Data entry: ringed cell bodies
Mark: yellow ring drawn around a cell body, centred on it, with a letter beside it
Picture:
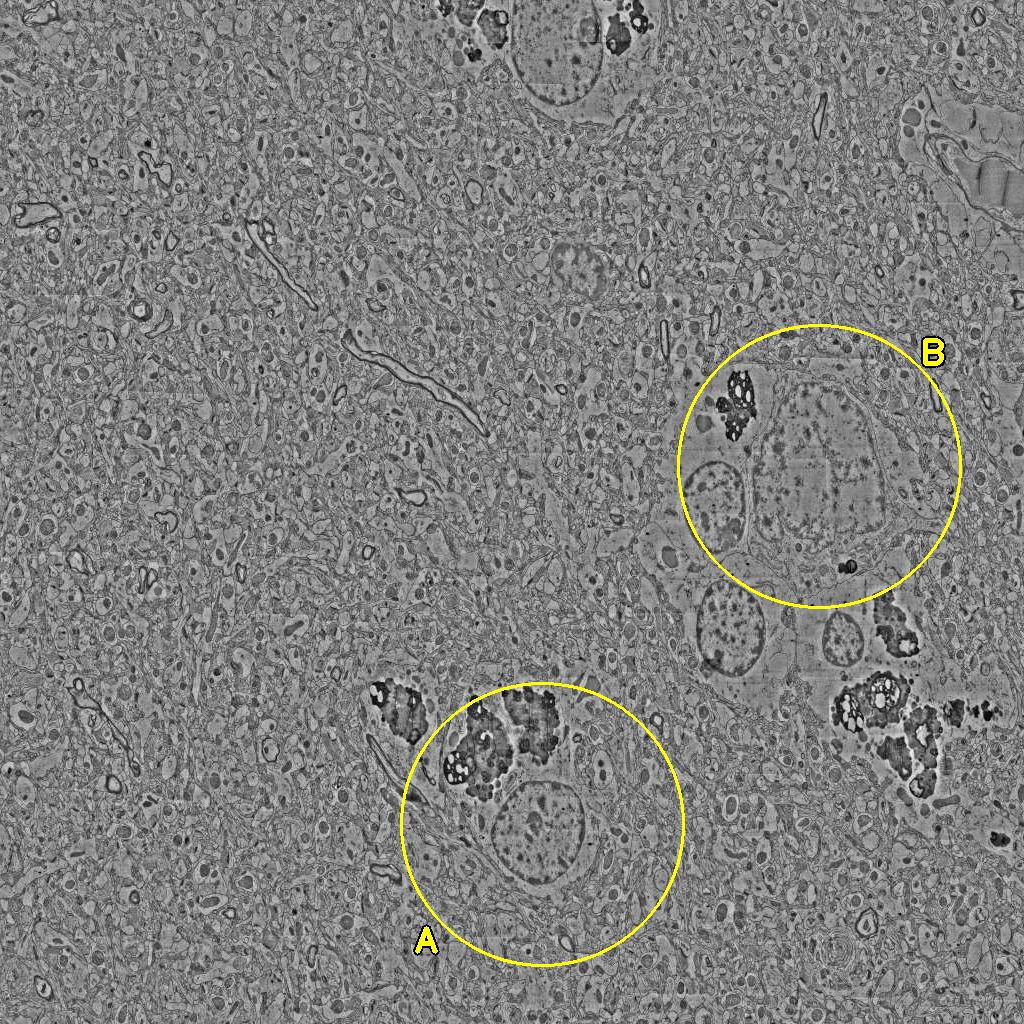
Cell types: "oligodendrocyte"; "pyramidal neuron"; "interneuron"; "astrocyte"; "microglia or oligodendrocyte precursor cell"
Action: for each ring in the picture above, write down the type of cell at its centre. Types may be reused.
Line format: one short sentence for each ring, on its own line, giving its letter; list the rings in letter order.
For ring A, the cell at the centre is an astrocyte.
For ring B, the cell at the centre is an interneuron.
